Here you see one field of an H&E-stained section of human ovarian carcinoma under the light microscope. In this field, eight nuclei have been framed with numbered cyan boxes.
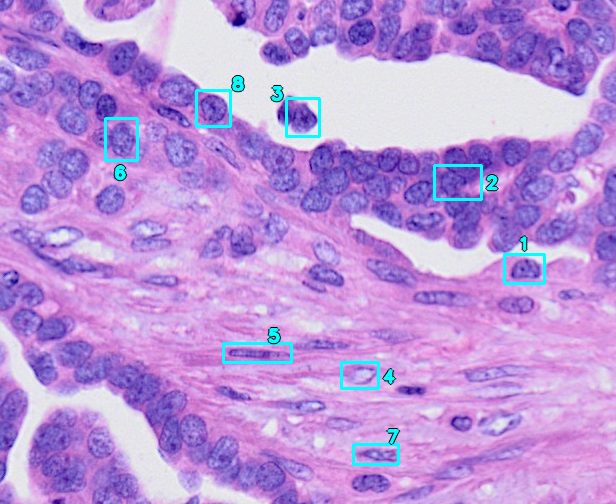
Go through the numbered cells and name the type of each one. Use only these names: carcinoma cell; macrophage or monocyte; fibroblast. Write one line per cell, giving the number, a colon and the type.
1: macrophage or monocyte
2: carcinoma cell
3: carcinoma cell
4: fibroblast
5: fibroblast
6: carcinoma cell
7: fibroblast
8: carcinoma cell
